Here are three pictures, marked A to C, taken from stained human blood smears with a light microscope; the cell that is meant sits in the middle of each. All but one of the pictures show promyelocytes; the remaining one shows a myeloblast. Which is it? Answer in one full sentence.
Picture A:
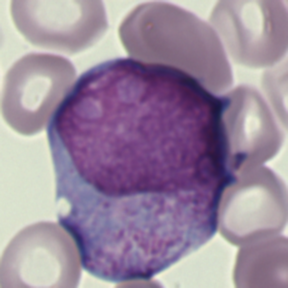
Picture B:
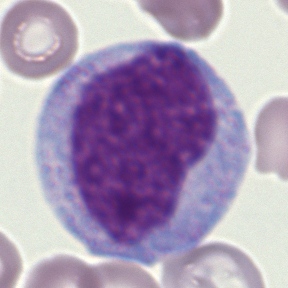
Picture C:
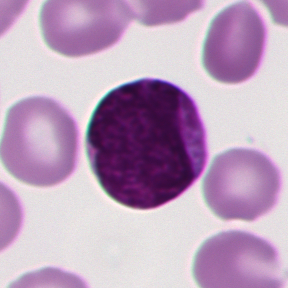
The picture with the myeloblast is C.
